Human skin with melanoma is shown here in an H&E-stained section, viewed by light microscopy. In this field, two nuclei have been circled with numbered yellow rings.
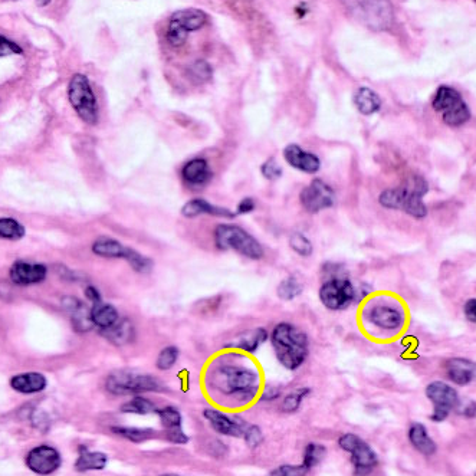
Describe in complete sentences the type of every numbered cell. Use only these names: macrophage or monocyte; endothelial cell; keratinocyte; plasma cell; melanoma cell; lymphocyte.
Cell 1 is an endothelial cell. Cell 2 is a macrophage or monocyte.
